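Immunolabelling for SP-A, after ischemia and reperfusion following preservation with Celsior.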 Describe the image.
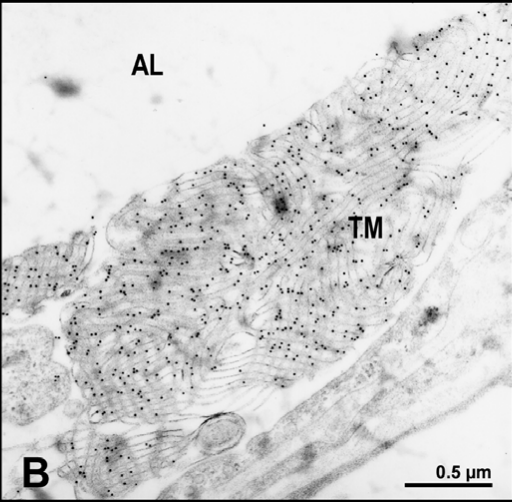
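This electron micrograph shows a large, well-preserved mass of tubular myelin lying in the alveolar lumen. The tubular myelin is a lattice of long, thin membranes that curve in parallel rows and meet one another to form a crisscrossing mesh. Numerous small black dots lie on the membranes throughout the mass, and the pale lumen around it carries almost none. Along the lower edge lie elongated, membrane-bound cell profiles with a finely granular interior, and a few smaller detached pieces of lattice lie beside the main mass.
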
